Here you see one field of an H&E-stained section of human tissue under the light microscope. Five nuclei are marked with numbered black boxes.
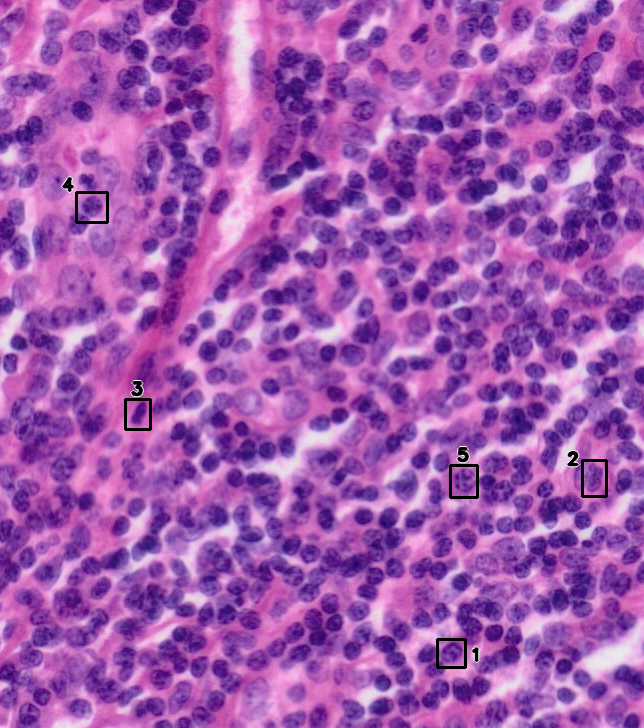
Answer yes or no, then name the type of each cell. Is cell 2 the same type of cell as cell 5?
No, cell number 2 is an endothelial cell, and cell number 5 is a plasma cell.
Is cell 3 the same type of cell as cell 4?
Yes, cells 3 and 4 are both termed endothelial cells.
